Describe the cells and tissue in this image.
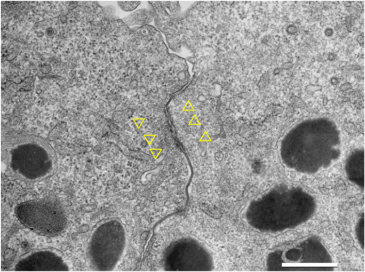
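High-magnification transmission electron micrograph of the boundary between two neighbouring cells, seen as a winding membrane line running from top to bottom. Arrowheads on both sides point along this intercellular attachment. The surrounding cytoplasm is finely granular with small vesicles, and large electron-dense oval granules lie in both cells.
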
